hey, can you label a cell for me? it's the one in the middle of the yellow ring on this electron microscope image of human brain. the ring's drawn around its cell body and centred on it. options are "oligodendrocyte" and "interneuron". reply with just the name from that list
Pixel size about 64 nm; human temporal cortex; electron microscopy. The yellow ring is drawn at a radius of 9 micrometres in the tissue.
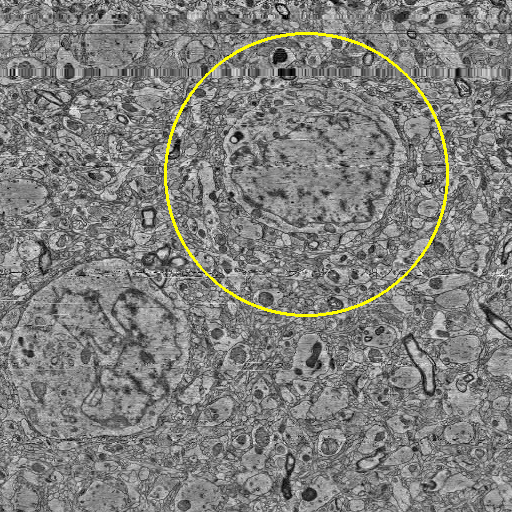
interneuron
